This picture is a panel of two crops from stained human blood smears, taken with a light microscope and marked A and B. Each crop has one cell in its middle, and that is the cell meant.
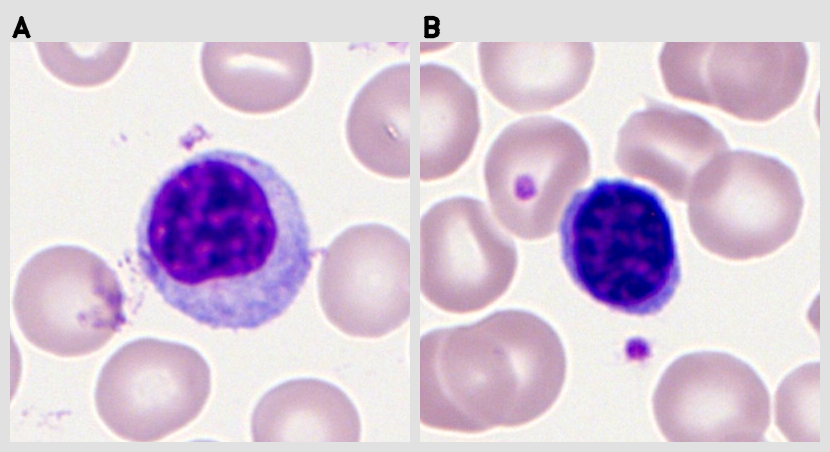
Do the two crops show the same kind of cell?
yes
